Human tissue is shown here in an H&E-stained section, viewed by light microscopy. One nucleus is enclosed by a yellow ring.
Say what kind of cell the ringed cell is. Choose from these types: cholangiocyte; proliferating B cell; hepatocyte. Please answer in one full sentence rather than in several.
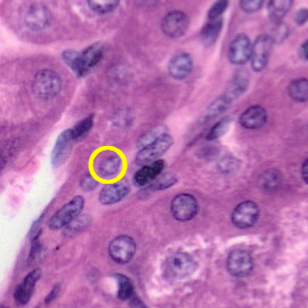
Among the cells in this section, the ringed cell is a cholangiocyte.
